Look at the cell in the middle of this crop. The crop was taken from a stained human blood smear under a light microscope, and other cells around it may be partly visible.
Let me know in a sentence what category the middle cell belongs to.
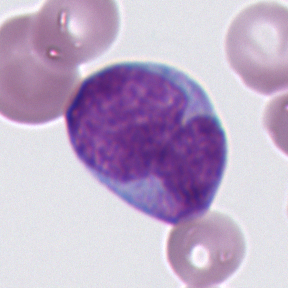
Whatever else lies nearby, the middle cell is an atypical promyelocyte.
